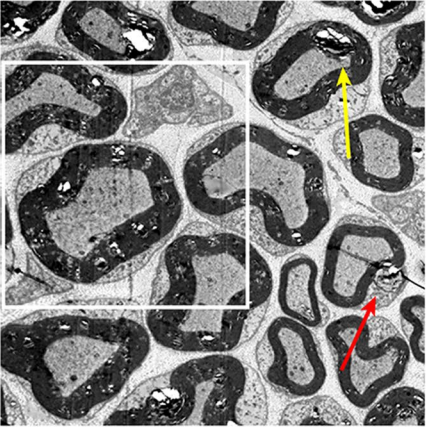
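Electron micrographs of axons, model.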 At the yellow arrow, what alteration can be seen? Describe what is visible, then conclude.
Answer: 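Nerve myelin damage. The arrow points into the dark sheath around an axon. At its tip the dark layers are split by bright, irregular clefts.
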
